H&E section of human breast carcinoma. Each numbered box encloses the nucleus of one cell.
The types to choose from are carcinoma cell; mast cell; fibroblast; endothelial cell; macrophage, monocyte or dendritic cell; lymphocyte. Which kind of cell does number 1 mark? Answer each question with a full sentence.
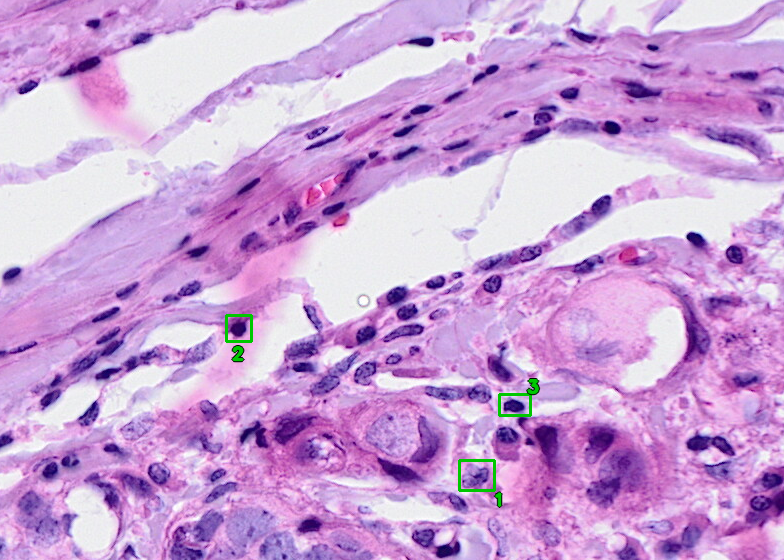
Cell 1 in the field is a macrophage, monocyte or dendritic cell.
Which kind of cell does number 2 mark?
At number 2, the marked cell is a lymphocyte.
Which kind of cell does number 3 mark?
The cell bearing label 3 corresponds to a lymphocyte.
